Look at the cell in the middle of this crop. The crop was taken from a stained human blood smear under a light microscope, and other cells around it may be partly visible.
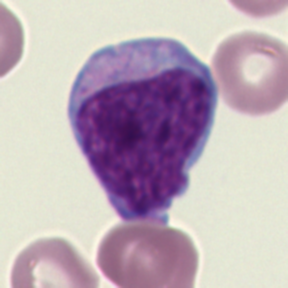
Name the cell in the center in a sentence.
Whatever else lies nearby, the middle cell is an atypical promyelocyte.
